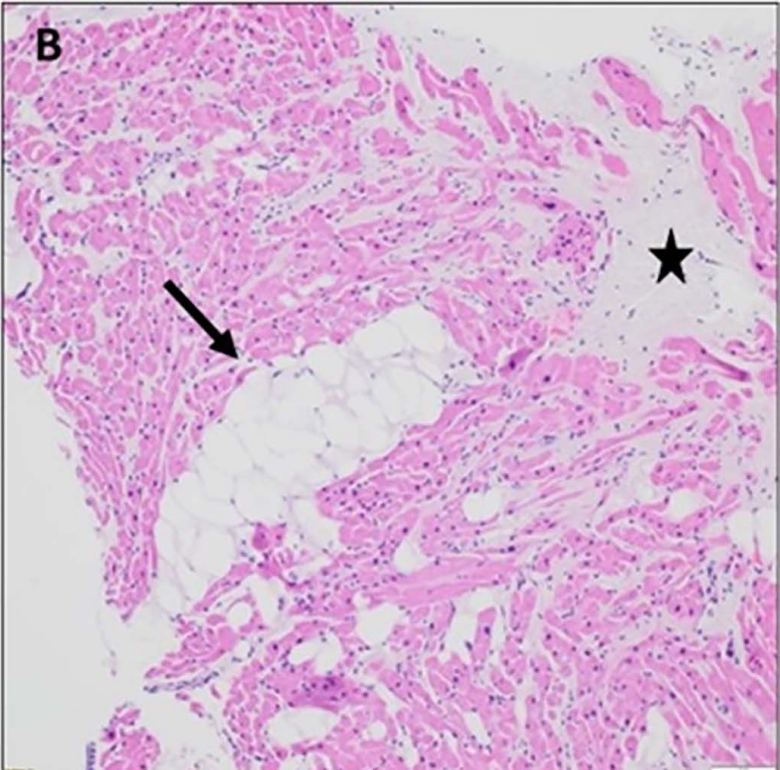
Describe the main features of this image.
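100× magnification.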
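This is heart muscle in which fat cells and pale connective tissue have come to lie among the muscle fibres. In the middle a cluster of large, rounded, clear fat cells with thin walls pushes in between the fibres, and smaller clear spaces of the same kind are scattered lower down. Toward the upper right the fibres are pulled apart by a pale, loosely textured, lightly stained matrix with only a few scattered nuclei. Fat and this pale tissue thus take the place of muscle that would normally be packed tightly together.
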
